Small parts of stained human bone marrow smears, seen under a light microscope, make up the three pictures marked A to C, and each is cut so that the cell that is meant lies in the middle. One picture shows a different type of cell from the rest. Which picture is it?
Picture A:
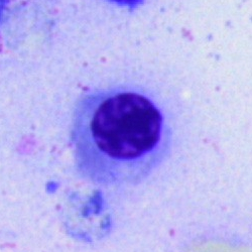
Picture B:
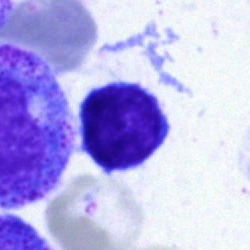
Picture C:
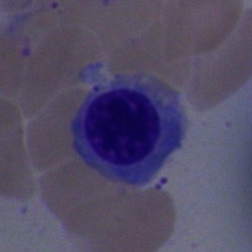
B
